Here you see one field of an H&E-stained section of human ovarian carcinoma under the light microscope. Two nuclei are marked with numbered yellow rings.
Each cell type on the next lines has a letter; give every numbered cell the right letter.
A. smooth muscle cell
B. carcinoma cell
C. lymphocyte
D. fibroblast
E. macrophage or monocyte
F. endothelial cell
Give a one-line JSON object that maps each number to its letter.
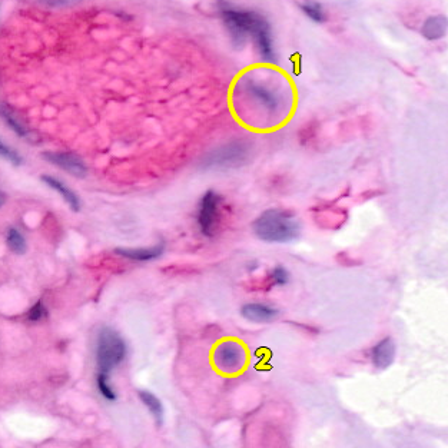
{"1": "F", "2": "A"}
